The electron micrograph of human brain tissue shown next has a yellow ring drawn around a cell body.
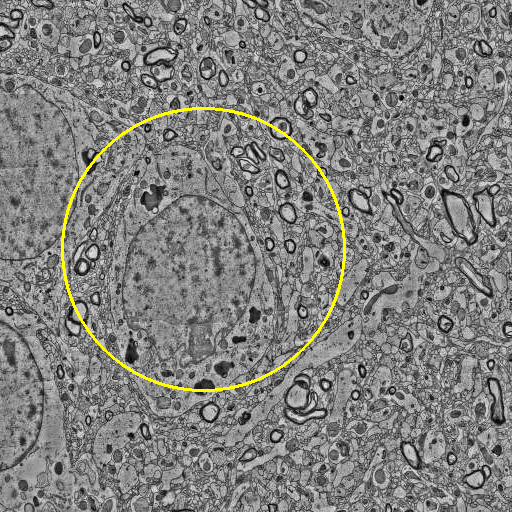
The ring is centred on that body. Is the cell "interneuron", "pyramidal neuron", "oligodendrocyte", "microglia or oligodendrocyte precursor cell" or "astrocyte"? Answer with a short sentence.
The cell in question is an interneuron.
